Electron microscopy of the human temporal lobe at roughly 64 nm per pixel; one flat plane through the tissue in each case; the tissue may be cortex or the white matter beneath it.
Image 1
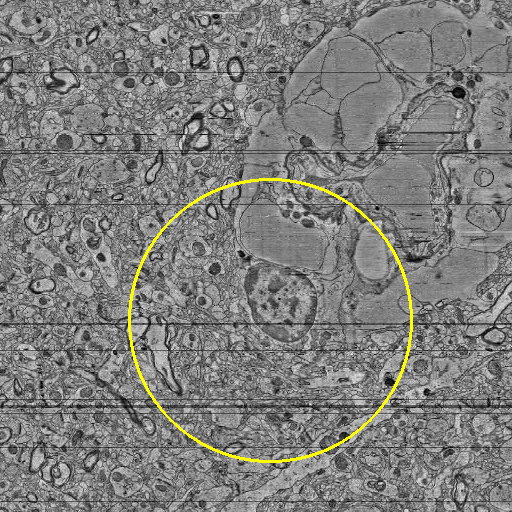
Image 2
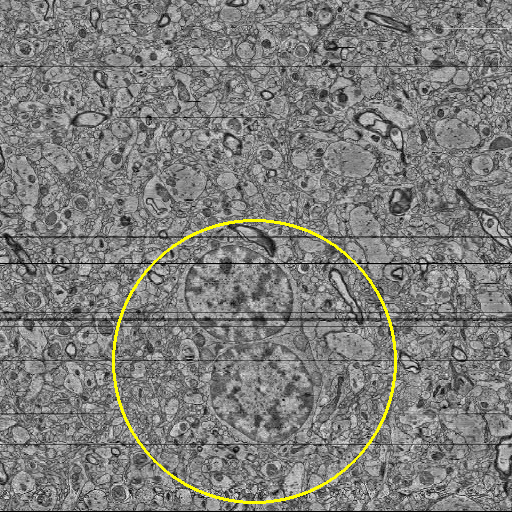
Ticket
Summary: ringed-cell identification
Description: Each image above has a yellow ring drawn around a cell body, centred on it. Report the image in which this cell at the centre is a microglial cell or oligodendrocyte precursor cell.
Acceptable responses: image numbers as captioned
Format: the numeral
1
